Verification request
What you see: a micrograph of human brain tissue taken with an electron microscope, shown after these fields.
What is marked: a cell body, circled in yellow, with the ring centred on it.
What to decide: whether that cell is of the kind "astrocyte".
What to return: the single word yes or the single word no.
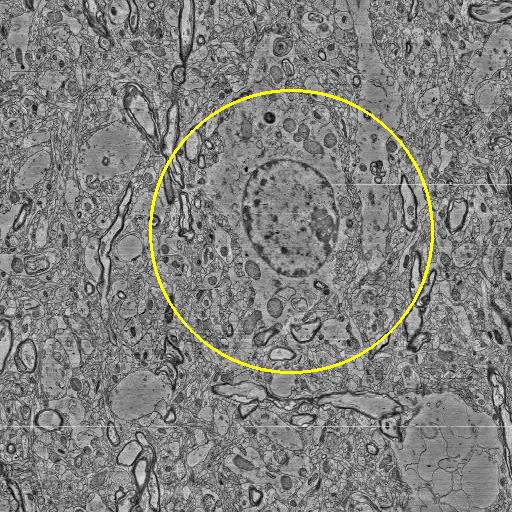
yes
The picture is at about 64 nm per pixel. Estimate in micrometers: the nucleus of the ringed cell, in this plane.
In this plane, the nucleus is roughly 8 by 6 micrometres.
